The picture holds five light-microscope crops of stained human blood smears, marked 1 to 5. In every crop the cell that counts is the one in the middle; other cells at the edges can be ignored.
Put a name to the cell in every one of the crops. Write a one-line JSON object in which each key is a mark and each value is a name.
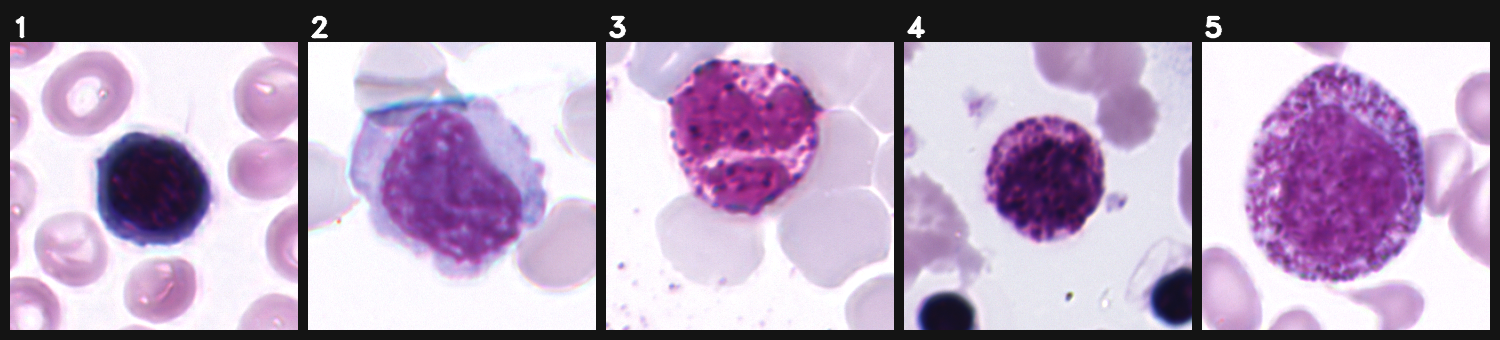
{"1": "normoblast", "2": "plasma cell", "3": "basophil", "4": "basophil", "5": "promyelocyte"}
